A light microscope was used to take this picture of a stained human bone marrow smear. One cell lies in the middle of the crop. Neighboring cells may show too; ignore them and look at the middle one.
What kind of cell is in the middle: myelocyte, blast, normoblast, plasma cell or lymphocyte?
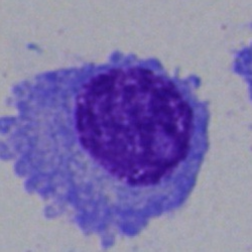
plasma cell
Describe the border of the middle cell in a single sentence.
Not smooth, the outline of the cell is ragged or drawn out into projections.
